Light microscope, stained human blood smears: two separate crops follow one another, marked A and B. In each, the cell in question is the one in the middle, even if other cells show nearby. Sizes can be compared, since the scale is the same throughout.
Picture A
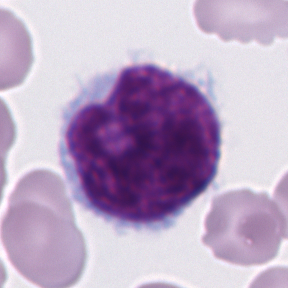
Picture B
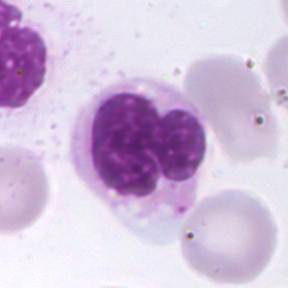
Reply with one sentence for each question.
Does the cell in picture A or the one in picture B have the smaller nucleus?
Smaller is the nucleus in picture B, and the other is about 2 times as large in area.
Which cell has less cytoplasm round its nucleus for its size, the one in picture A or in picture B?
Of the two, the nucleus in picture A makes up the greater part of its cell.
